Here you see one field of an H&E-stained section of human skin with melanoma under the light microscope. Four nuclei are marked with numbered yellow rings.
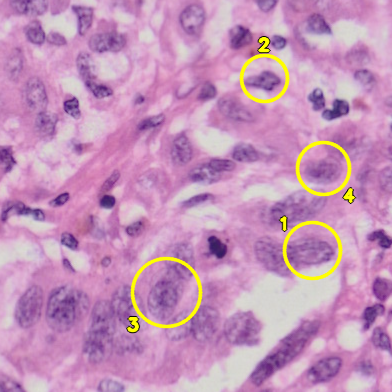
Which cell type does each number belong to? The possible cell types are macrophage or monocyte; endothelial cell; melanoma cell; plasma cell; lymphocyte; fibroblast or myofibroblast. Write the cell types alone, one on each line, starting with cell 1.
melanoma cell
macrophage or monocyte
melanoma cell
melanoma cell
